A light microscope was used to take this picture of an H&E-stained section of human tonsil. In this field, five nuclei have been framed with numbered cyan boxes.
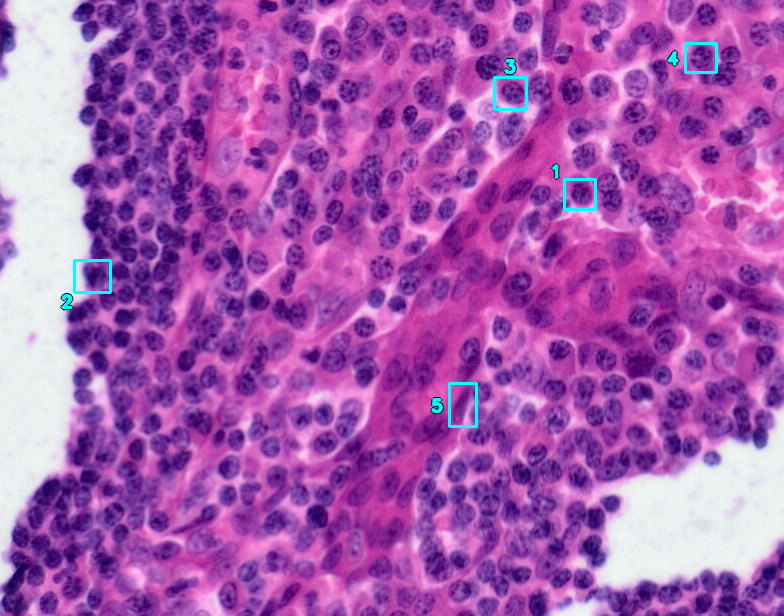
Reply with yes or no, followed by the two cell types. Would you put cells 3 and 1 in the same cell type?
Yes, the cell marked 3 and the cell marked 1 are both plasma cells.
